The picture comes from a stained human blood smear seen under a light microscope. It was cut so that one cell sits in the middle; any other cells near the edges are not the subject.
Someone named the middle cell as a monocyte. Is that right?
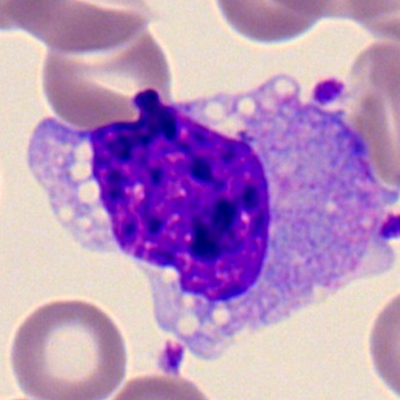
yes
